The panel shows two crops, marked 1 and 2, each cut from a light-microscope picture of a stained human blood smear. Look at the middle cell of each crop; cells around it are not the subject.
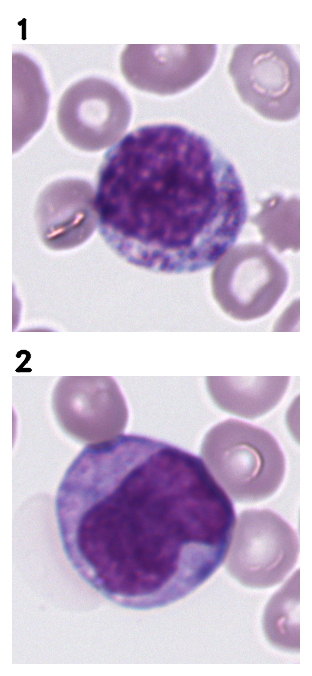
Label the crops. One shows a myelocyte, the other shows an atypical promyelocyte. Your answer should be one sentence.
Crops 1 and 2 are, respectively, a myelocyte and an atypical promyelocyte.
